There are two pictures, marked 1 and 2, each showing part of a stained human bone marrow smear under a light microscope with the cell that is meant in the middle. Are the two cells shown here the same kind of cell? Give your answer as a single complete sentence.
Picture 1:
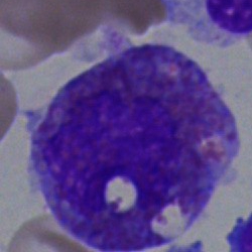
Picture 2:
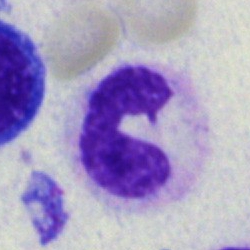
No. Picture 1 shows an eosinophil, but picture 2 shows a band neutrophil.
